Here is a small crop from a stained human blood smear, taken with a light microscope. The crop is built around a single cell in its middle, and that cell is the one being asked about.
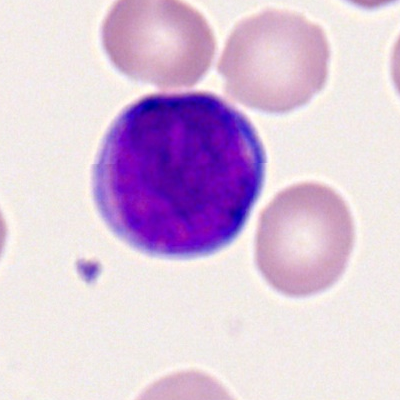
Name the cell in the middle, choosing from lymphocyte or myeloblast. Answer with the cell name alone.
myeloblast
